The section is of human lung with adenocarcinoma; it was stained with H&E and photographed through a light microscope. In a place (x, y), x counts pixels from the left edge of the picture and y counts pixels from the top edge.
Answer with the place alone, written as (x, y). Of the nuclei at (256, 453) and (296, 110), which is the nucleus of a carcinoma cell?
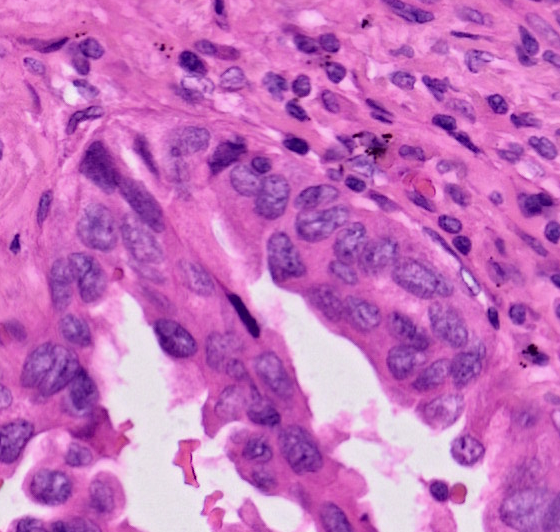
(256, 453)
